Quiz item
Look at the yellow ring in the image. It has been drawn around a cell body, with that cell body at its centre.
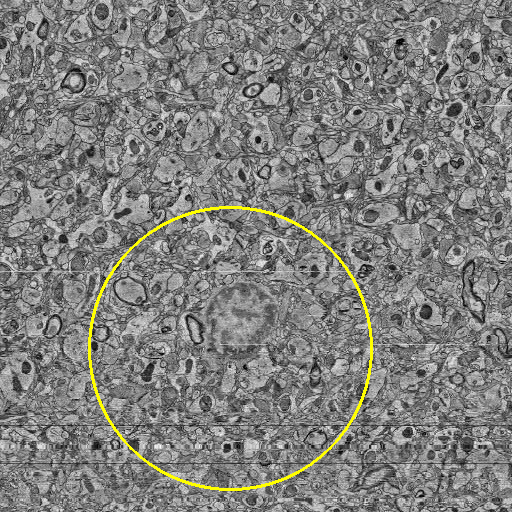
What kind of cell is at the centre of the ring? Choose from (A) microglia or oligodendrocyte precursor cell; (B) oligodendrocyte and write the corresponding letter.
B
